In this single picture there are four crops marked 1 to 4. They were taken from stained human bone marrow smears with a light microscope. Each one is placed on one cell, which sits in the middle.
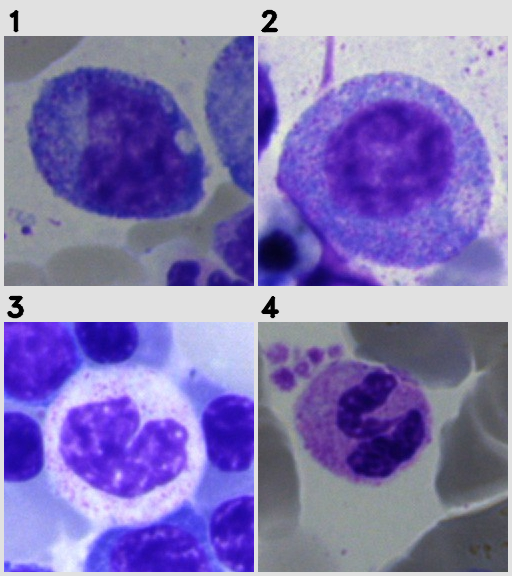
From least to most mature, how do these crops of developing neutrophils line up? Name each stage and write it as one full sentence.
The progression from least to most mature runs crop 2 (a promyelocyte), crop 1 (a myelocyte), crop 3 (a band neutrophil) and crop 4 (a segmented neutrophil).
